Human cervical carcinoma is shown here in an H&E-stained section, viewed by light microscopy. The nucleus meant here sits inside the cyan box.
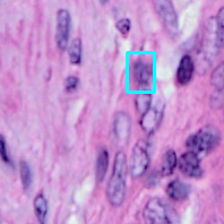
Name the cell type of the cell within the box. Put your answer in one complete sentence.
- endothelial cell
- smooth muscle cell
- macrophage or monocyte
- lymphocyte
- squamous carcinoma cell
In cell-type terms, the cell within the box is an endothelial cell.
